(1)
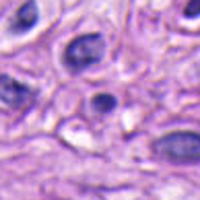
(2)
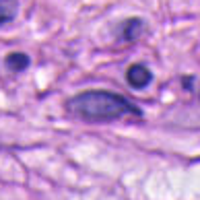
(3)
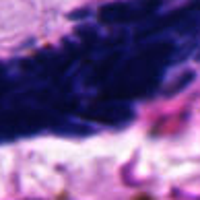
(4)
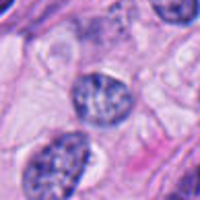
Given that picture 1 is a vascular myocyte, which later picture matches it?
2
